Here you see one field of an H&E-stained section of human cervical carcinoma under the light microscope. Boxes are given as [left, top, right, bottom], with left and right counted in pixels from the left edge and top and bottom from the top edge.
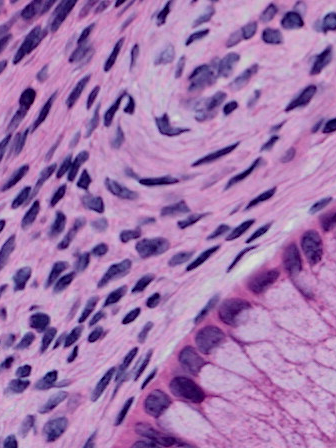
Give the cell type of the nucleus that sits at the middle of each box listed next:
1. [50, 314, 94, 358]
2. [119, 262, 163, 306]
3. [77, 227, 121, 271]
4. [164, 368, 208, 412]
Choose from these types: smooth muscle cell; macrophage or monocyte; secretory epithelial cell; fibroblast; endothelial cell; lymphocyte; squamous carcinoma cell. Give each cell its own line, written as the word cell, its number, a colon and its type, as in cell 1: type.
cell 1: fibroblast
cell 2: fibroblast
cell 3: fibroblast
cell 4: secretory epithelial cell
